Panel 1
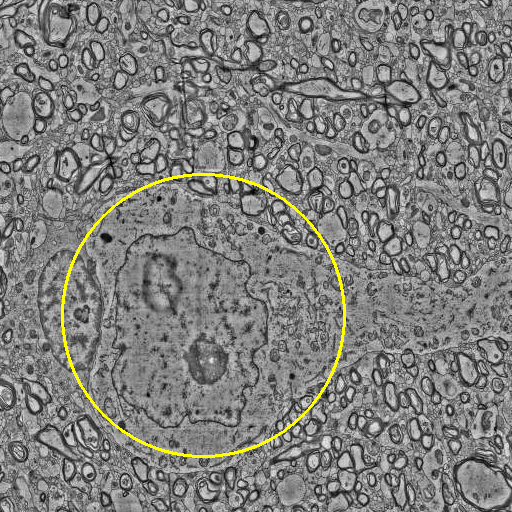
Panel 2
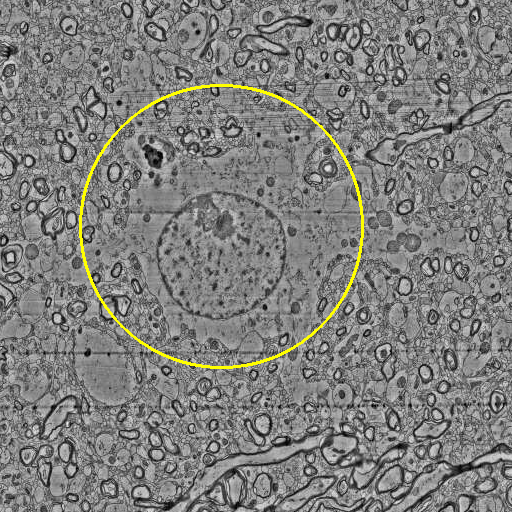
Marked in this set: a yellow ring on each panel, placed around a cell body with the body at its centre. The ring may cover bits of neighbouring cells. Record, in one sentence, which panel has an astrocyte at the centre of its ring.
Panel 2 has it at the centre of its ring.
